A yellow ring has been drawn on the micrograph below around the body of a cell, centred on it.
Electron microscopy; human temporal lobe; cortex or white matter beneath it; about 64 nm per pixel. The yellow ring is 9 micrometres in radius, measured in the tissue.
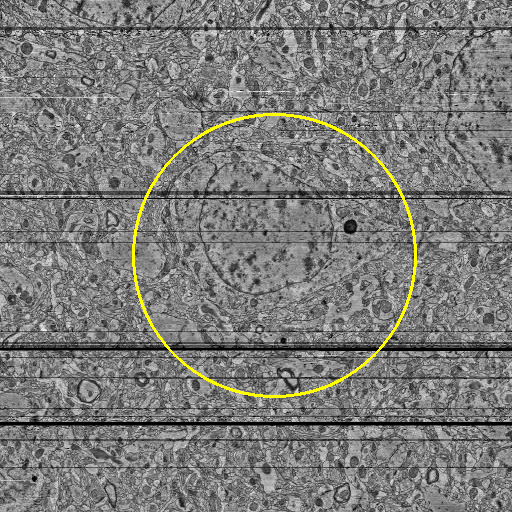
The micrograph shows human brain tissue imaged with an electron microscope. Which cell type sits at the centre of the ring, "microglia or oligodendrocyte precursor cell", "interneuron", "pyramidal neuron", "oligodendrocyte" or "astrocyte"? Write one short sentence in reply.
The cell sitting at the centre of the ring is a pyramidal neuron.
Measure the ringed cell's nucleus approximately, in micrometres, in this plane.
About 9 micrometres across, as seen in this plane.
